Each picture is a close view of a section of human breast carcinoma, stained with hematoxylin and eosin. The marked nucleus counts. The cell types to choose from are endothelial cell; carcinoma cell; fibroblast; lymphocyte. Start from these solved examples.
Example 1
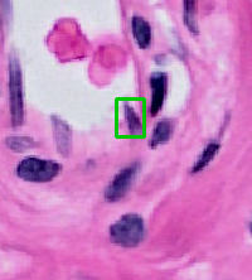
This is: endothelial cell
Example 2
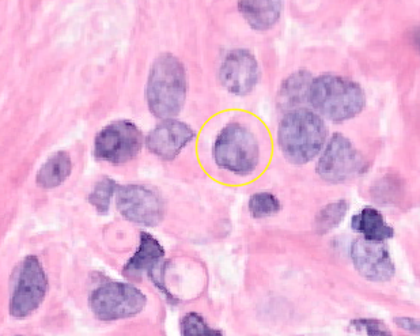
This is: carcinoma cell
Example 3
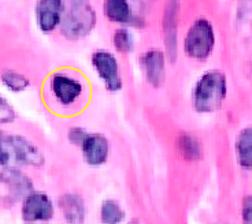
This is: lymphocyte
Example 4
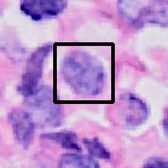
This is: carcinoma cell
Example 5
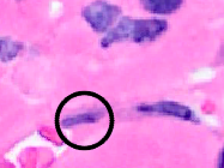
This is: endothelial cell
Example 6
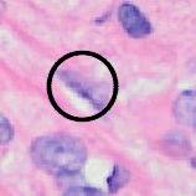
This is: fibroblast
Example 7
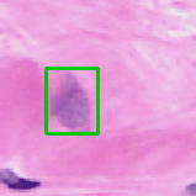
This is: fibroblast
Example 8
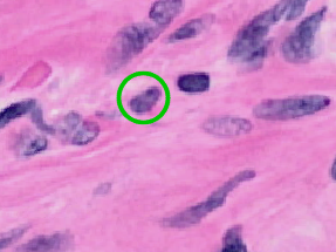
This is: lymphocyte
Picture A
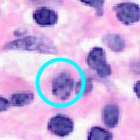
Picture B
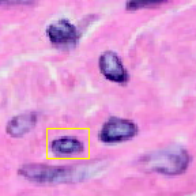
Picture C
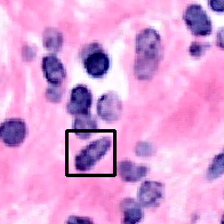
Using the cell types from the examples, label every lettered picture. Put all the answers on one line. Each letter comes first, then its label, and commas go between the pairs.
A lymphocyte, B endothelial cell, C lymphocyte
